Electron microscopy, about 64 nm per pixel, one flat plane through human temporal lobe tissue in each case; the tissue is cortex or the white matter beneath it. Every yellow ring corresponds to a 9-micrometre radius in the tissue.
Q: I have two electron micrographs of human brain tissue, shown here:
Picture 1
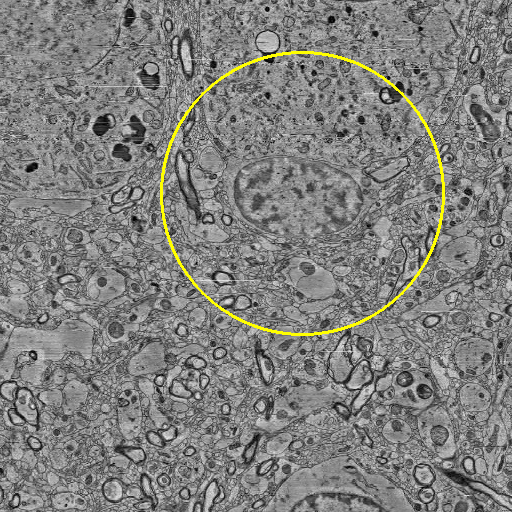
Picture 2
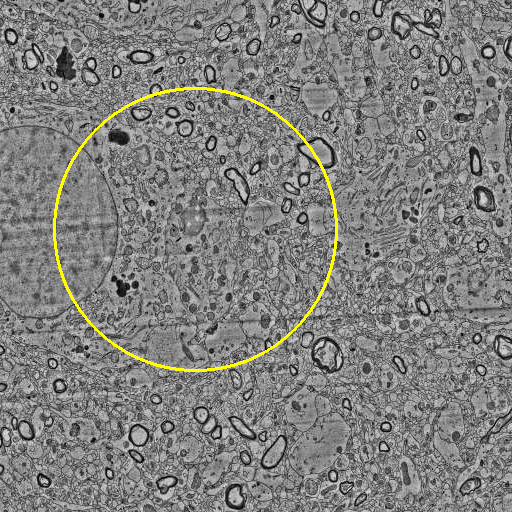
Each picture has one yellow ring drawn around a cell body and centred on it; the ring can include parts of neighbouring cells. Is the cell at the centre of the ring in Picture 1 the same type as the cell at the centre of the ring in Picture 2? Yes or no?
yes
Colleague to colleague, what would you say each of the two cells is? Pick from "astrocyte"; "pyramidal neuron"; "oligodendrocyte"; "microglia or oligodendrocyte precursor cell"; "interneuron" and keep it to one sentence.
Each of the two cells is an oligodendrocyte.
